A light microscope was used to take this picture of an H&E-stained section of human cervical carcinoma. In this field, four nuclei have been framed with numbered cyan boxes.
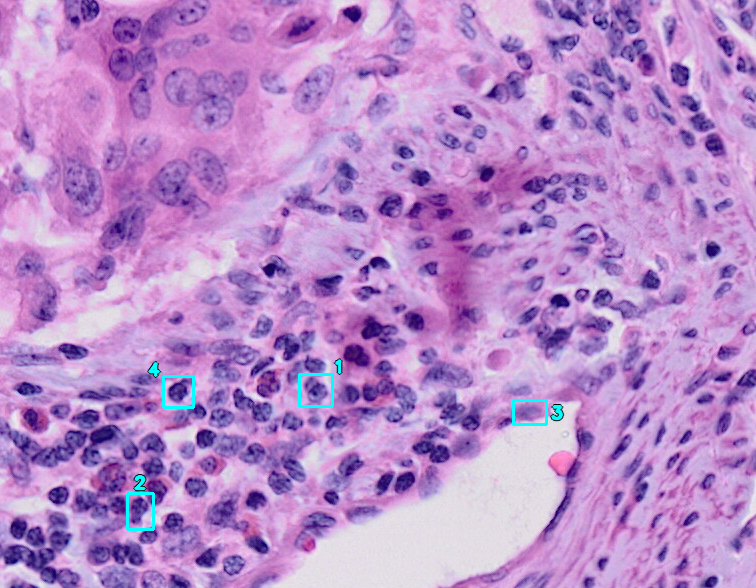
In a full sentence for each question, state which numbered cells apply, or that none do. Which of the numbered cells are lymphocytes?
In terms of cell type, cells 1, 2 and 4 are lymphocytes.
